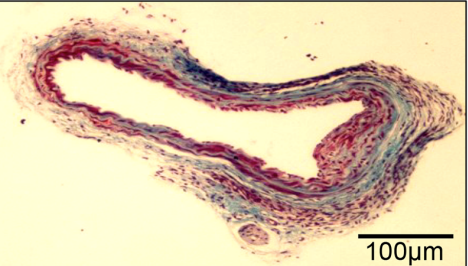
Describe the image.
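A cross-section of an artery with a wide, irregular, partly collapsed lumen. The wall is built of bands: near the lumen a wavy red layer with elongated dark nuclei, around it bundles of blue-green fibrous tissue with scattered nuclei, and outside a loose pale layer with scattered cells. The wall is thicker on one side than the other, and a small vessel is cut beside the outer wall at the bottom.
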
